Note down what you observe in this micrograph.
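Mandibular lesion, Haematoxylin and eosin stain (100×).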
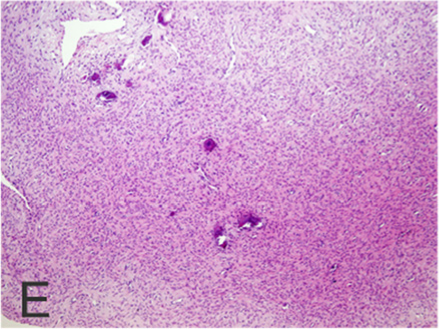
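This is a cellular fibrous tissue made of densely packed fibroblasts. At this low power they show as countless small, elongated, dark nuclei set in pink matrix and arranged in streaming, interlacing bundles. Scattered sparsely through the tissue are a few small, round, dark purple bodies; these are the calcifications. Some of them sit in small clear spaces. Near the upper edge a few clear, slit-like spaces break up the otherwise solid tissue.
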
